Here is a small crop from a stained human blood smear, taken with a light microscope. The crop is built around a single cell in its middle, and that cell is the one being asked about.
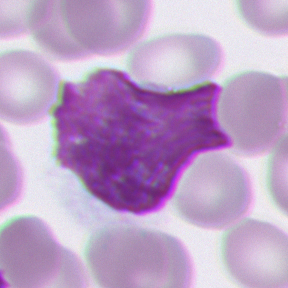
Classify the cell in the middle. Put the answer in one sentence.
Located at the centre of the crop is a smudge cell.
